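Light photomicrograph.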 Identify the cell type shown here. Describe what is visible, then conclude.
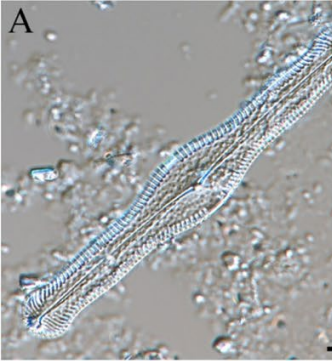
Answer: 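A single elongate cell with a silica wall. Regular transverse rows of striae along both margins. A central line running the length of the cell.
Hence: diatoms.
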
